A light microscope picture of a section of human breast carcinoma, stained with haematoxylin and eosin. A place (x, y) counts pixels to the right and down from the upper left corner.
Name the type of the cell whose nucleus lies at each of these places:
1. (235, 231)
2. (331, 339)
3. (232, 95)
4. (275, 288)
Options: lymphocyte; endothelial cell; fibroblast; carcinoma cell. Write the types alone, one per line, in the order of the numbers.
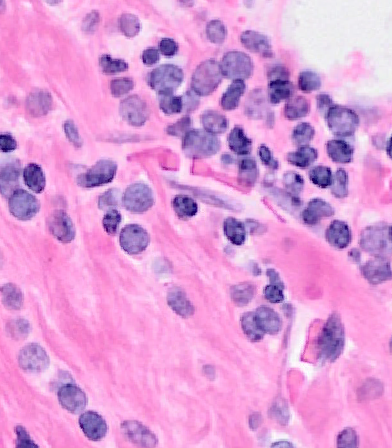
lymphocyte
endothelial cell
lymphocyte
lymphocyte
